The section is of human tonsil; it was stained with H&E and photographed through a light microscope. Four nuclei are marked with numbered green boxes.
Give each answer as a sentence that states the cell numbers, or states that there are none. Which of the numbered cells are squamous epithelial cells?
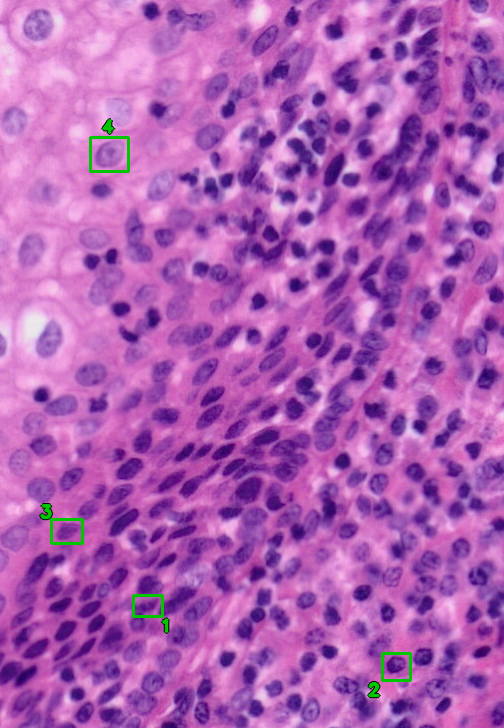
On this slide, the cells numbered 1, 3 and 4 are squamous epithelial cells.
